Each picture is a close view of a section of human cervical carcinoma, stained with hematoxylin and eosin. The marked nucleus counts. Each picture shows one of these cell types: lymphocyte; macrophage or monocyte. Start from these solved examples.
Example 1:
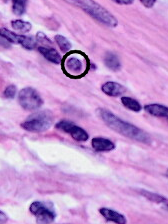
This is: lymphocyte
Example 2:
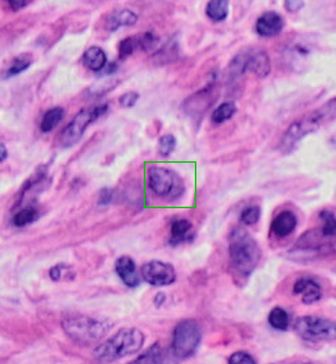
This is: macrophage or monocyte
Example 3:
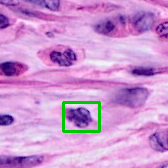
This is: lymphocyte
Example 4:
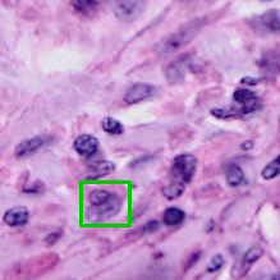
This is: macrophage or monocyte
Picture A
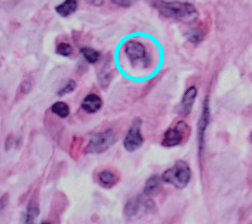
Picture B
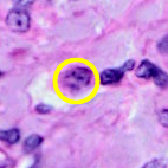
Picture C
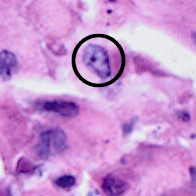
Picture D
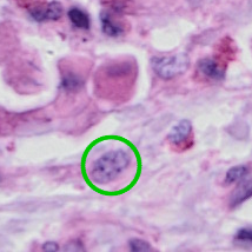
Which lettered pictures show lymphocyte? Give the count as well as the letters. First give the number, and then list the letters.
0, none of them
